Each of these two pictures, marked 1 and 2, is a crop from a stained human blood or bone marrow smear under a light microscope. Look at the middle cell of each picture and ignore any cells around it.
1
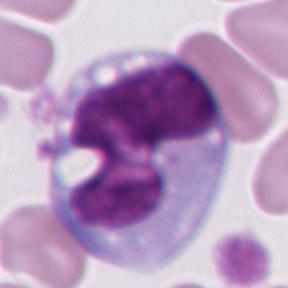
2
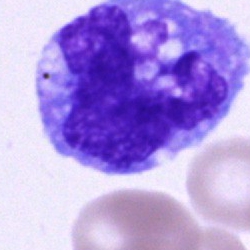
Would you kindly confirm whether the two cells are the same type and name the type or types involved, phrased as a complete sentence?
Yes, as an answer for this item, both crops show monocytes.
